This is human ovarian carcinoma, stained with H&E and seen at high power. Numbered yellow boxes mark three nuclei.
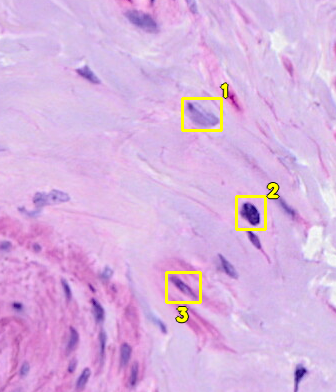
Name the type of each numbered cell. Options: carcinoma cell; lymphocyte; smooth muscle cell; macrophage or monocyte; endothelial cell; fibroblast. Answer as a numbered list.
1. fibroblast
2. lymphocyte
3. smooth muscle cell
